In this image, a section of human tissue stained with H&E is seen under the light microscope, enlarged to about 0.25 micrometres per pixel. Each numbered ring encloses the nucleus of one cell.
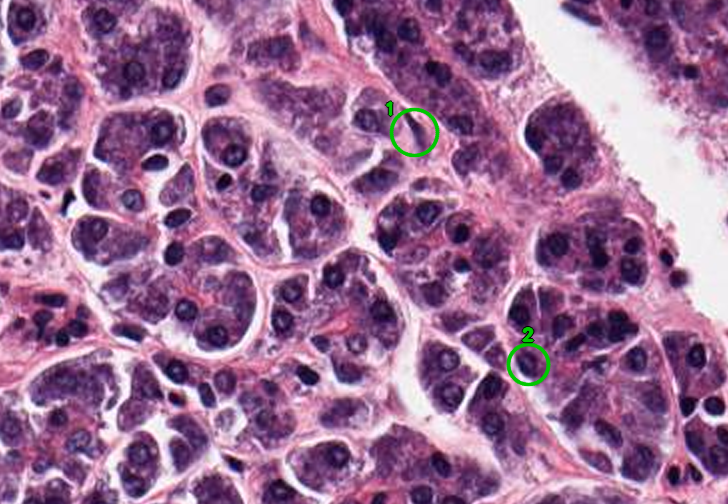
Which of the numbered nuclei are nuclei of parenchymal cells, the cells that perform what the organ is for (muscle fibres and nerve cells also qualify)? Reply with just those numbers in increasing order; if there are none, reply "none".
2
